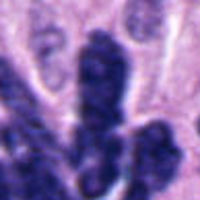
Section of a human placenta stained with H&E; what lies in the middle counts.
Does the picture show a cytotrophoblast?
No, it shows a syncytial knot.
